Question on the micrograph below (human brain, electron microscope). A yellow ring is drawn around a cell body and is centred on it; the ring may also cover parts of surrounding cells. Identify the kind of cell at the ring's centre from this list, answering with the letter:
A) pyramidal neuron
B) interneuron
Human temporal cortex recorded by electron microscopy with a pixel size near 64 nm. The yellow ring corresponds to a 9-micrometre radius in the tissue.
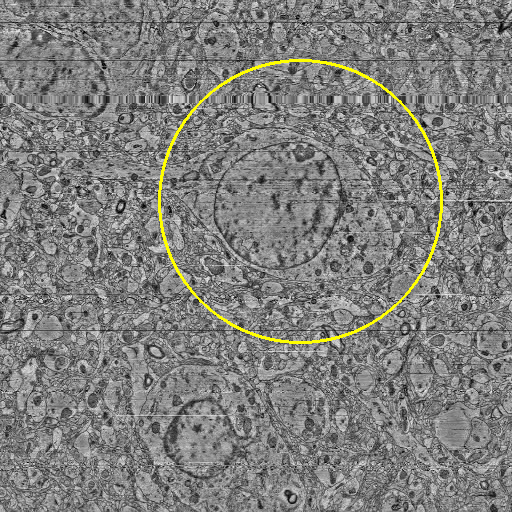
A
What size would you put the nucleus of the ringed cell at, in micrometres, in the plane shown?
The nucleus of the ringed cell is approximately 8 micrometres across in this plane.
